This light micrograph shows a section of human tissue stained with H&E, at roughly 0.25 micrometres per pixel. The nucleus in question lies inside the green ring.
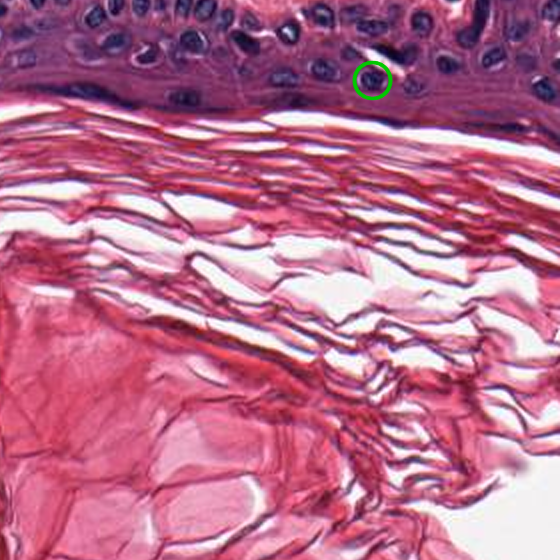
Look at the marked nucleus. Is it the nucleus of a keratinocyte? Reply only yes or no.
yes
